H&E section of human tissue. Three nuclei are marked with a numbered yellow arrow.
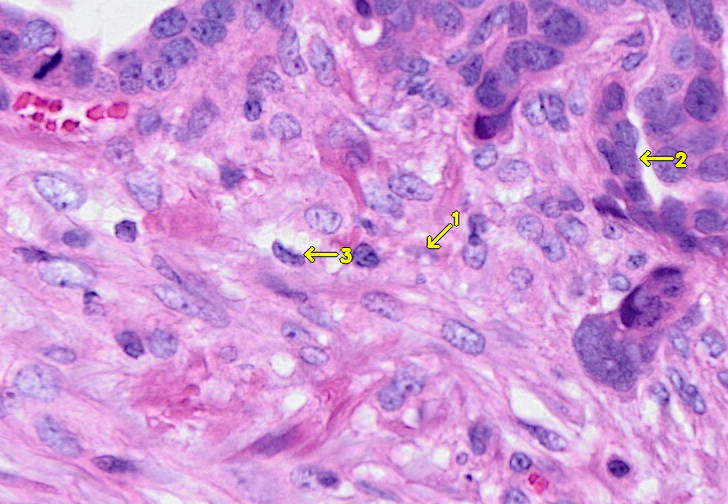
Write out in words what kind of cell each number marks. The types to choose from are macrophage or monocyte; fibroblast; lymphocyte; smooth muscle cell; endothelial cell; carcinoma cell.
Cell 1 is a fibroblast, cell 2 is a carcinoma cell and cell 3 is a macrophage or monocyte.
